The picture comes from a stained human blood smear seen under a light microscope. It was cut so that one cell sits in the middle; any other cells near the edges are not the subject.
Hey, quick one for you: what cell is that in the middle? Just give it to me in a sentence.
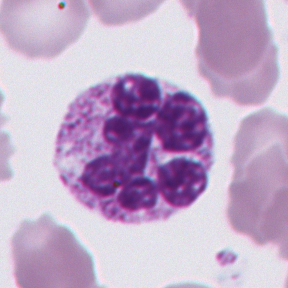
Centrally within this crop lies a segmented neutrophil.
